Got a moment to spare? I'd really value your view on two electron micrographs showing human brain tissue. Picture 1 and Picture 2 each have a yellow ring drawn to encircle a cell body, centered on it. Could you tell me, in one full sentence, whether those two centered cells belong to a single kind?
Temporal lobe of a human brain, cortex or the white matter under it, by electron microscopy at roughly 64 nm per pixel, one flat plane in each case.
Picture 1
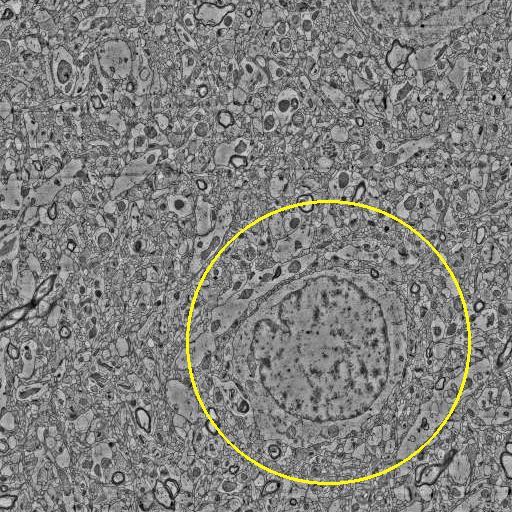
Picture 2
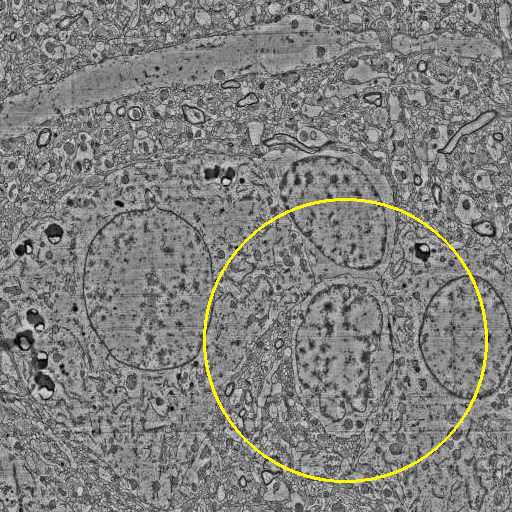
Yes, the two centered cells in Picture 1 and Picture 2 are of a single kind.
